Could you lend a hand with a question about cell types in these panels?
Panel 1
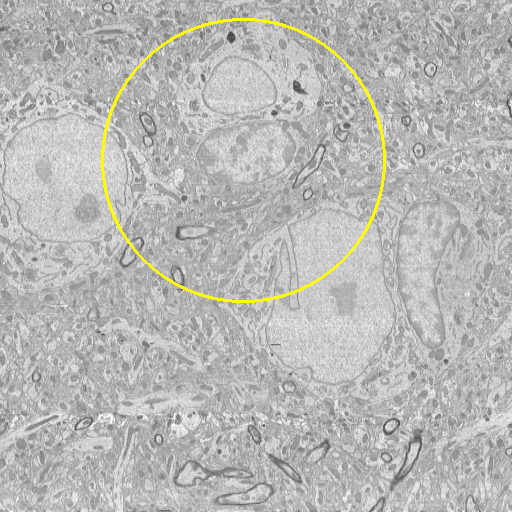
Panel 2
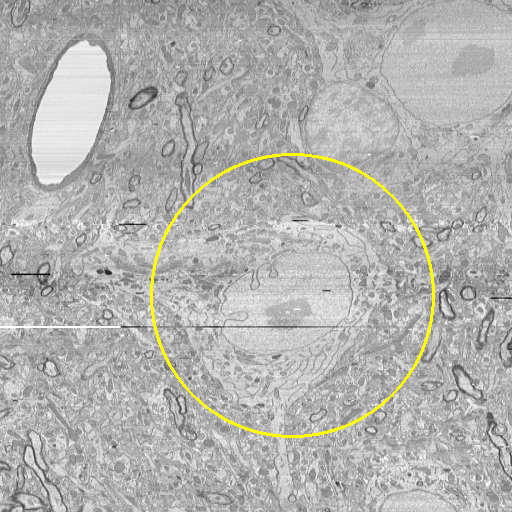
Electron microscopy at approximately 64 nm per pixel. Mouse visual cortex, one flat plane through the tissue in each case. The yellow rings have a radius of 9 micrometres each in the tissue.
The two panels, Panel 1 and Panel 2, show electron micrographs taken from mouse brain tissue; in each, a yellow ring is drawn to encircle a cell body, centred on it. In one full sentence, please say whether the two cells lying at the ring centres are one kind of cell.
No, the cells at the ring centres in the two panels are two kinds of cell.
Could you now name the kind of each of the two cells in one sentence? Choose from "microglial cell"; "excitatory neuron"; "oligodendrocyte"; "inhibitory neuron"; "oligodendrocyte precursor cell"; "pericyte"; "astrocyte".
The first ring encloses an oligodendrocyte; the second ring encloses an excitatory neuron.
